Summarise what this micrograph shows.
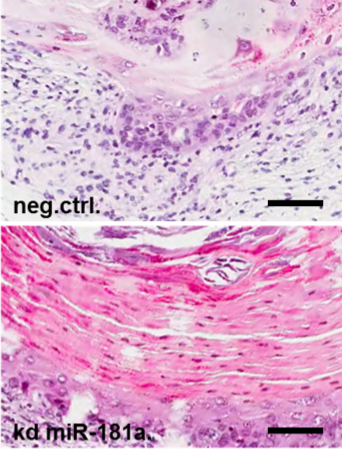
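In the upper image, clusters of cells with purple, rounded to oval nuclei lie beside pale pink, loosely textured material. Scattered elongated nuclei run through the looser tissue around them. In the lower image, much of the field is taken up by dense, strongly pink, wavy layered bands. Flattened, elongated nuclei lie between the layers. Cells with rounder purple nuclei appear at the bottom edge of this image.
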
